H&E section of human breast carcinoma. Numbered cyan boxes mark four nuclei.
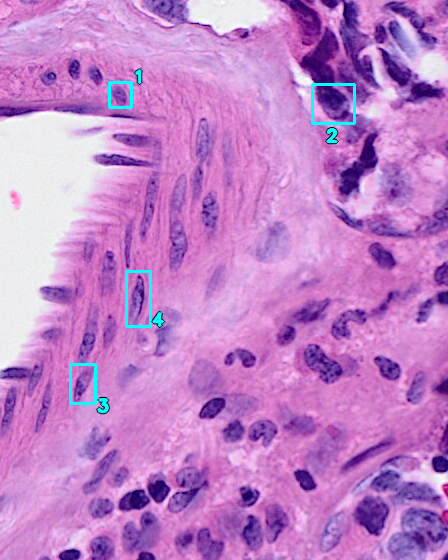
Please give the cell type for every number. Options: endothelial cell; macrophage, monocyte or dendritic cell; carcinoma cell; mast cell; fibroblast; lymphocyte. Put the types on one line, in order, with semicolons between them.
endothelial cell; carcinoma cell; endothelial cell; endothelial cell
